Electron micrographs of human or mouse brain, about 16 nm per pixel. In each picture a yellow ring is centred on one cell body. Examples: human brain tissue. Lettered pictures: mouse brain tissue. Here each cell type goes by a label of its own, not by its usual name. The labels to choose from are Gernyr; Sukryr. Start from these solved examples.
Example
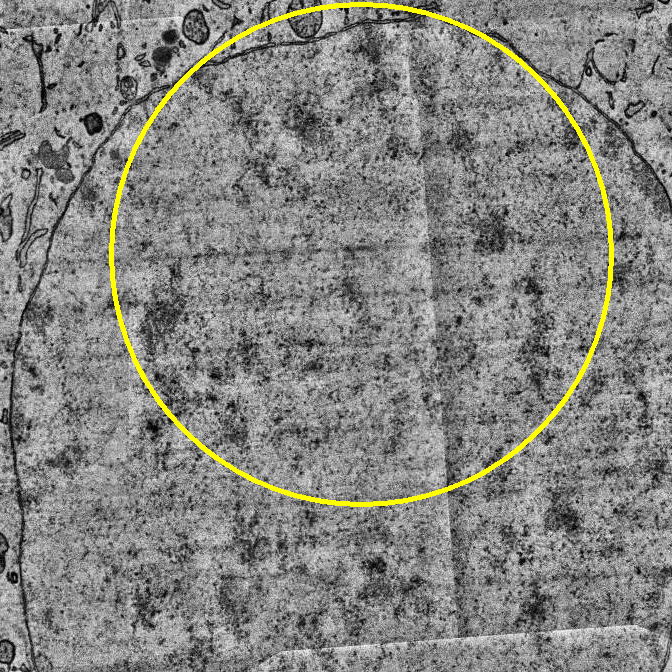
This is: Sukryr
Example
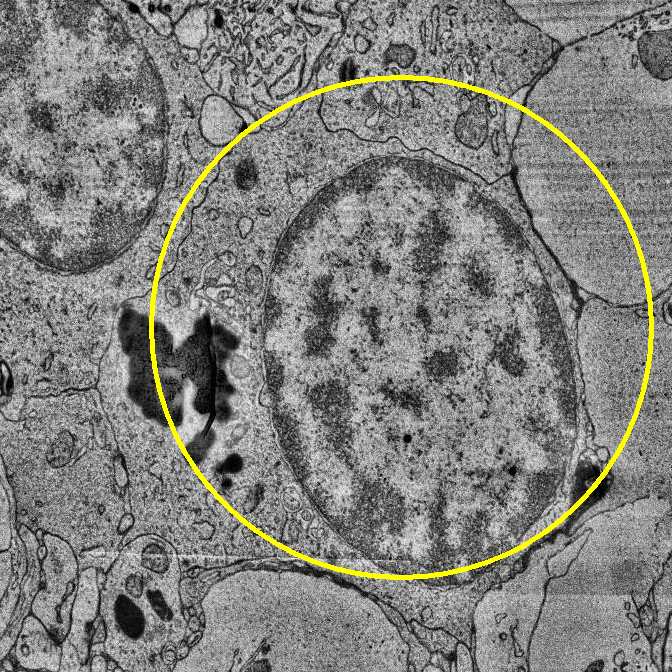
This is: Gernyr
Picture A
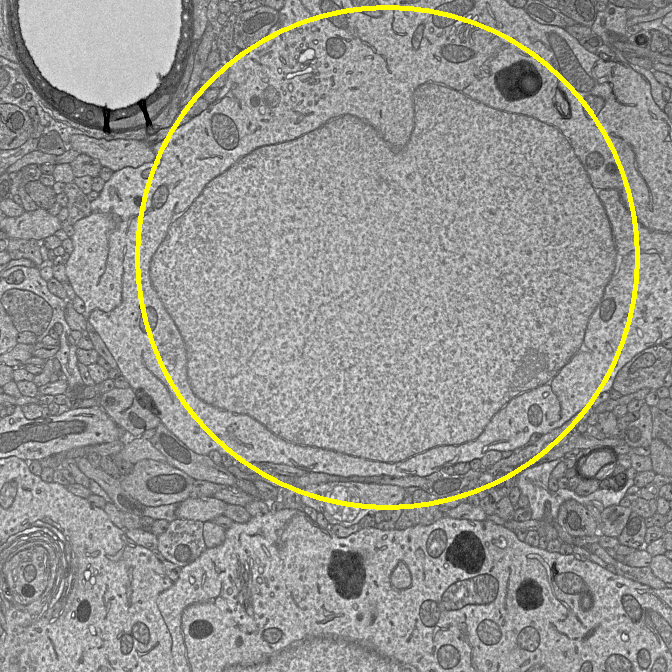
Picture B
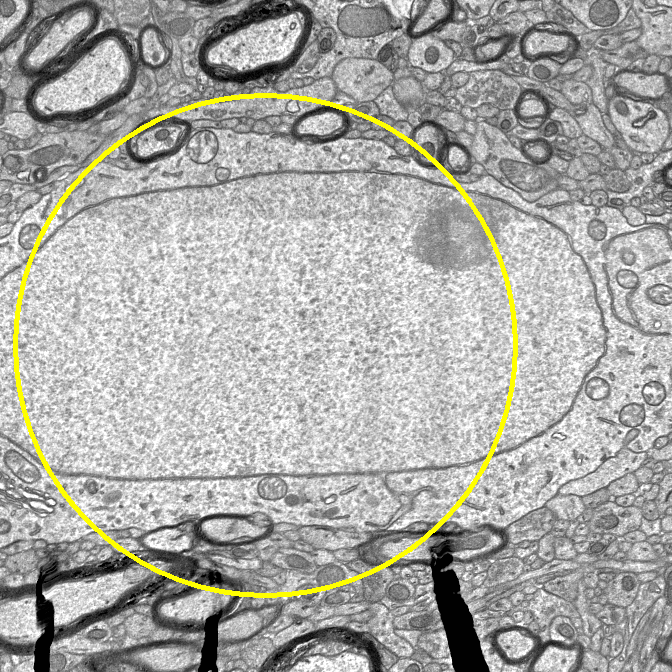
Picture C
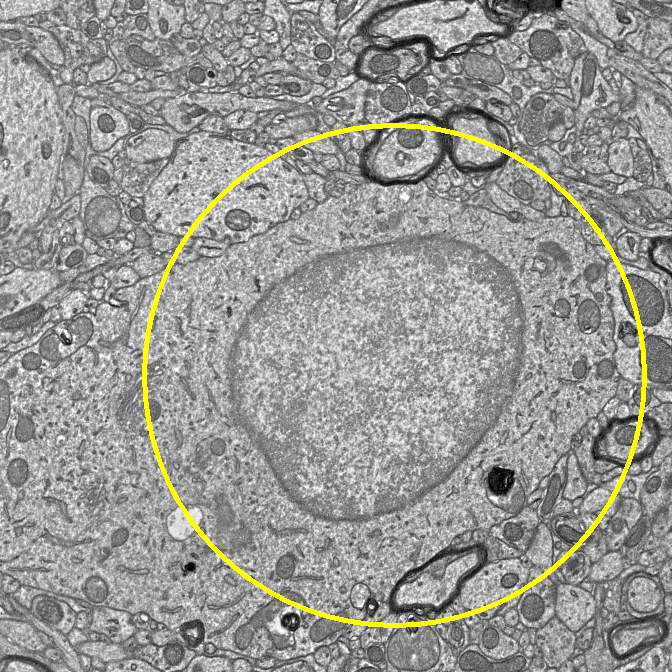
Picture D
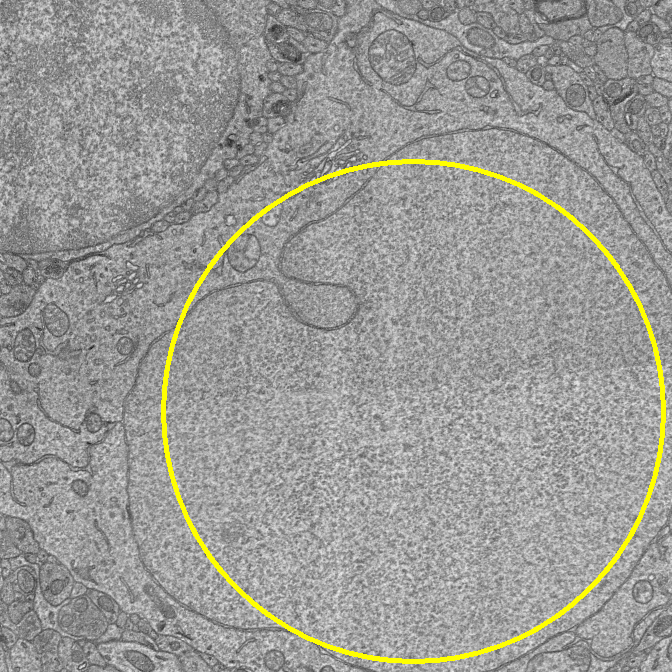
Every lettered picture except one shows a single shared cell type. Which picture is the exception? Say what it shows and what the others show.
C differs and shows Gernyr; the others show Sukryr.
